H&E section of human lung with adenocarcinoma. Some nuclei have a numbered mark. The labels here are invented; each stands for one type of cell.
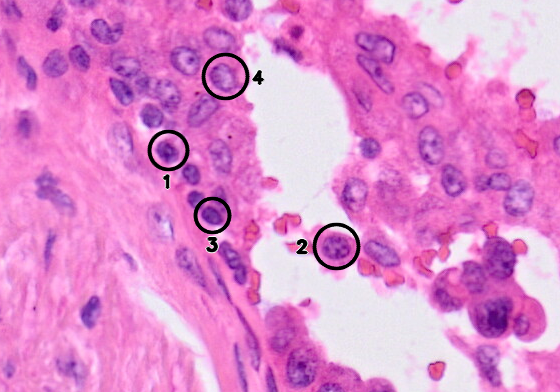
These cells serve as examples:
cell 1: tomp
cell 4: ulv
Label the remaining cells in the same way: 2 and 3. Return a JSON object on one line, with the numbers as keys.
{"2": "ulv", "3": "tomp"}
